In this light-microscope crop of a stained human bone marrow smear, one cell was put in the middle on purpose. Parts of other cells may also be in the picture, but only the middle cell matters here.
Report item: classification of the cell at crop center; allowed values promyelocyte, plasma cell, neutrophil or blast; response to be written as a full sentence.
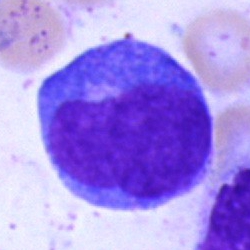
Positioned in the middle of the crop is a blast.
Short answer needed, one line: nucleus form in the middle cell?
See how the nucleus sits as one compact round, oval or kidney-shaped mass.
